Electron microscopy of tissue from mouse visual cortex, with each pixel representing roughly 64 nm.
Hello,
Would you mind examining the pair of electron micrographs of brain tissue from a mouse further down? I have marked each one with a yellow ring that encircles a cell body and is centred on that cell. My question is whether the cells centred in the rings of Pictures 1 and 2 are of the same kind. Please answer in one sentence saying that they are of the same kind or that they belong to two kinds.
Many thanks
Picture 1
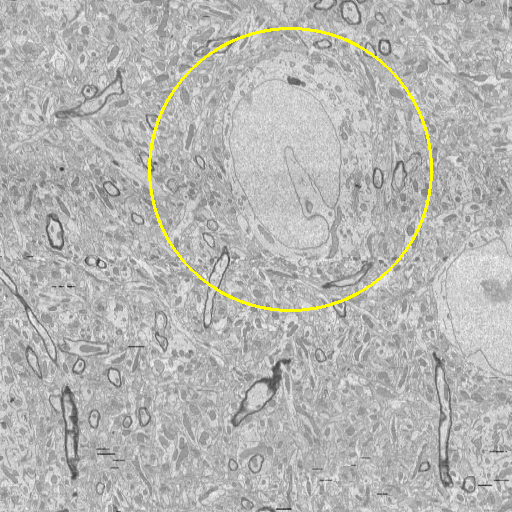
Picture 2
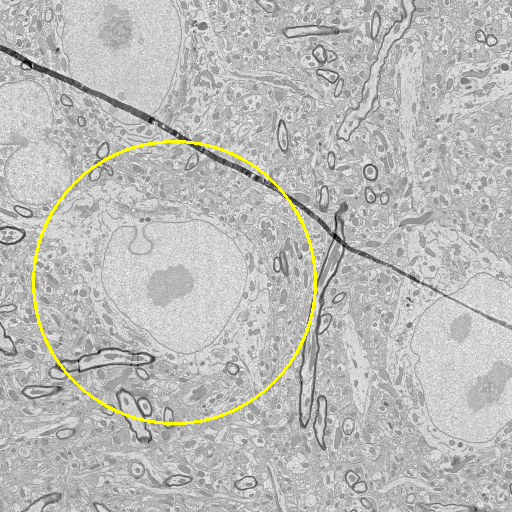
In Pictures 1 and 2, the cells at the heart of the rings are of the same kind.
